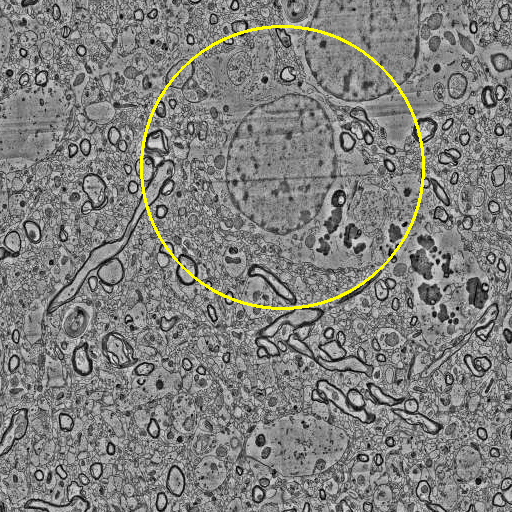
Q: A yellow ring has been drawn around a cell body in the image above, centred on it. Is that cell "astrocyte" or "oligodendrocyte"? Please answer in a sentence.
The ring surrounds the cell body of an astrocyte.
